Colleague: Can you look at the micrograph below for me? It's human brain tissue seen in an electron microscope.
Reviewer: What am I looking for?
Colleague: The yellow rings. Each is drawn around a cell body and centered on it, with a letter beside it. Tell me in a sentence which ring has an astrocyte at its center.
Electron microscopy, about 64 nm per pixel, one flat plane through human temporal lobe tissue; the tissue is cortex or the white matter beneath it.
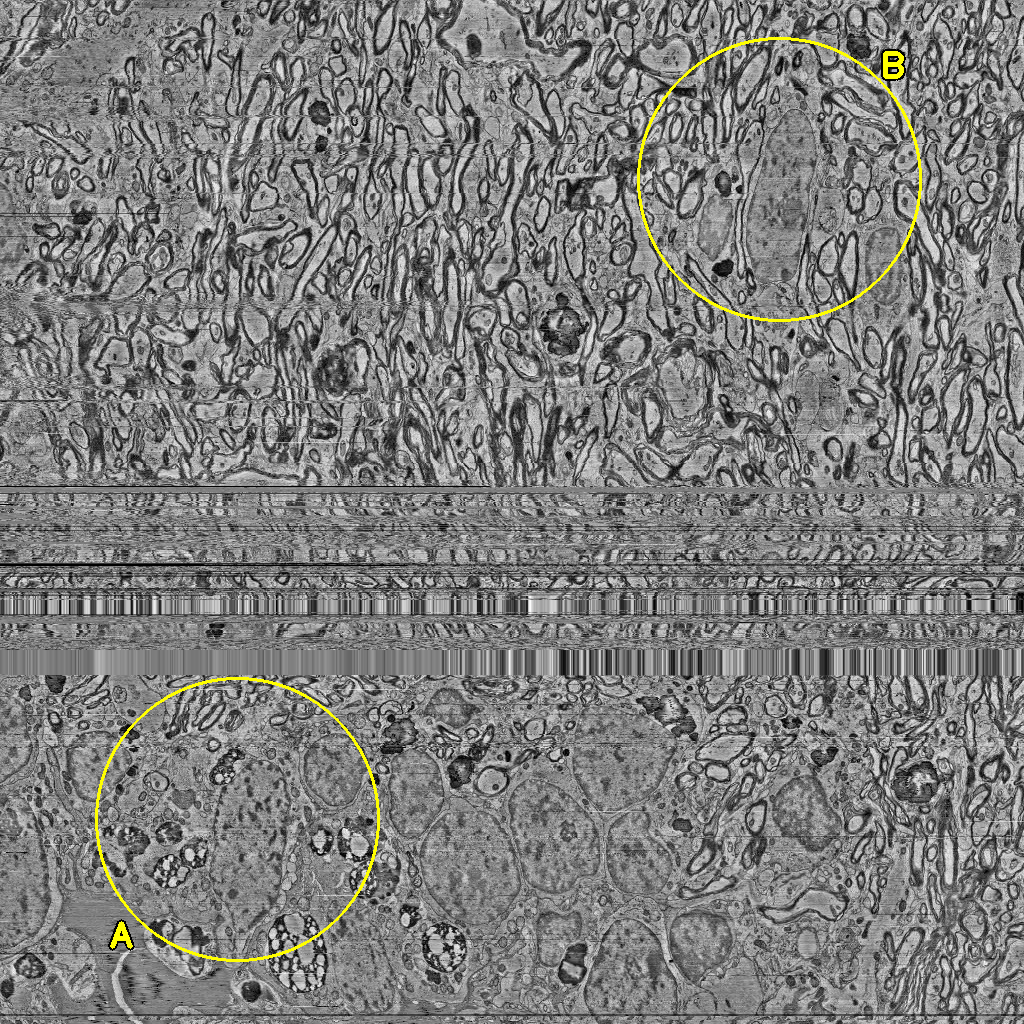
It's the cell in ring A.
